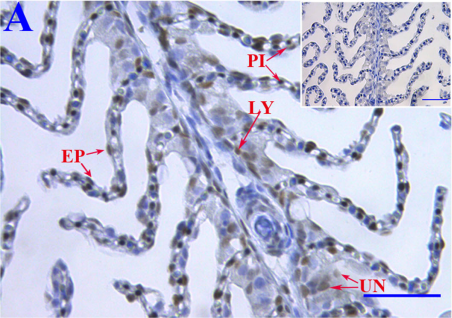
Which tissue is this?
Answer: Gills.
